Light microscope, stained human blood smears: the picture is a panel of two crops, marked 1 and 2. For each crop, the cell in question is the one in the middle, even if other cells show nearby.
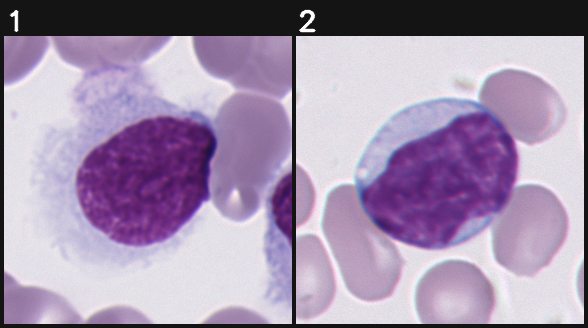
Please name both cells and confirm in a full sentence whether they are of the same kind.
No, crop 1 shows a hairy cell and crop 2 shows a myeloblast.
